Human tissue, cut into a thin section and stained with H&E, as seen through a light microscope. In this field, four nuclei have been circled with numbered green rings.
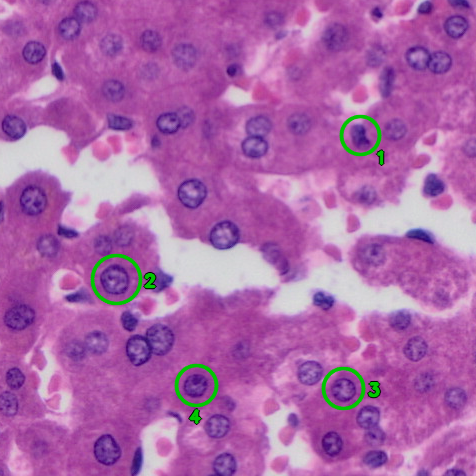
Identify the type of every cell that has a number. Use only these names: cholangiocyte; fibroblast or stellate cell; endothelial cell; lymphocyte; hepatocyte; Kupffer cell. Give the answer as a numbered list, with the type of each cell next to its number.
1. fibroblast or stellate cell
2. hepatocyte
3. hepatocyte
4. hepatocyte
